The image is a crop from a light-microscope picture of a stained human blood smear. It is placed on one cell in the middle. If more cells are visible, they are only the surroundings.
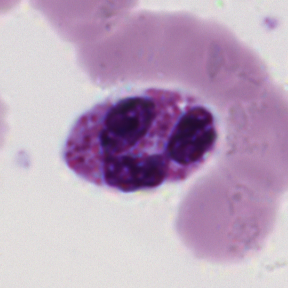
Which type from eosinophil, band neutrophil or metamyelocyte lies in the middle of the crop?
eosinophil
